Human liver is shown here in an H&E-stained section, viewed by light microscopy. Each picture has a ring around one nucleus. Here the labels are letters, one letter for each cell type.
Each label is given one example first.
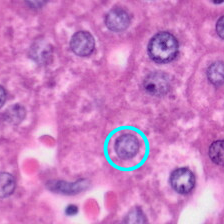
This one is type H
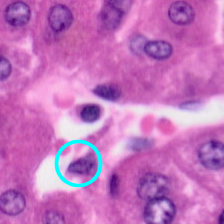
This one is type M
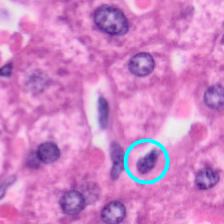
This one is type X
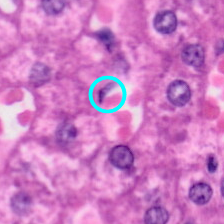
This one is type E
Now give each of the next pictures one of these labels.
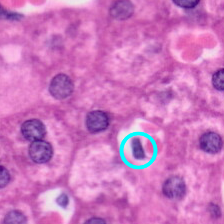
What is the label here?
type X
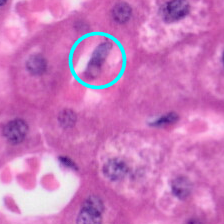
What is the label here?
type M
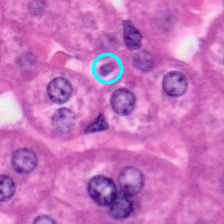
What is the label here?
type X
